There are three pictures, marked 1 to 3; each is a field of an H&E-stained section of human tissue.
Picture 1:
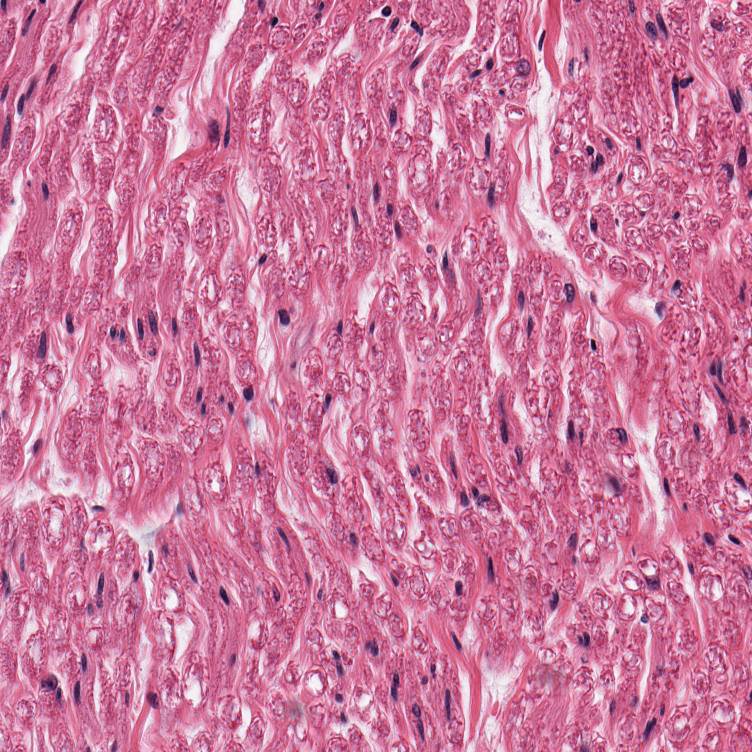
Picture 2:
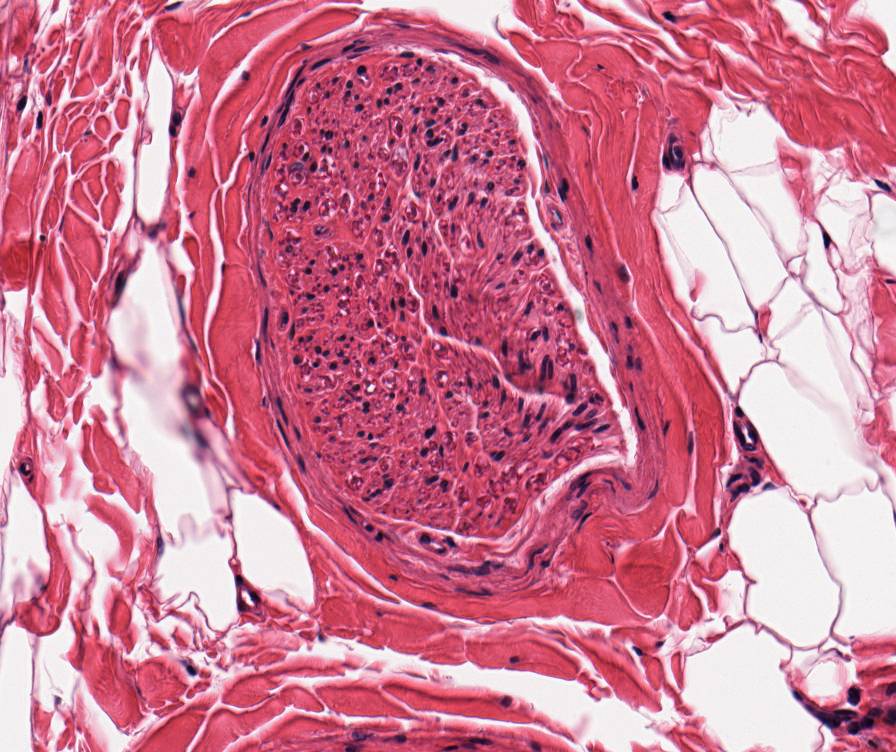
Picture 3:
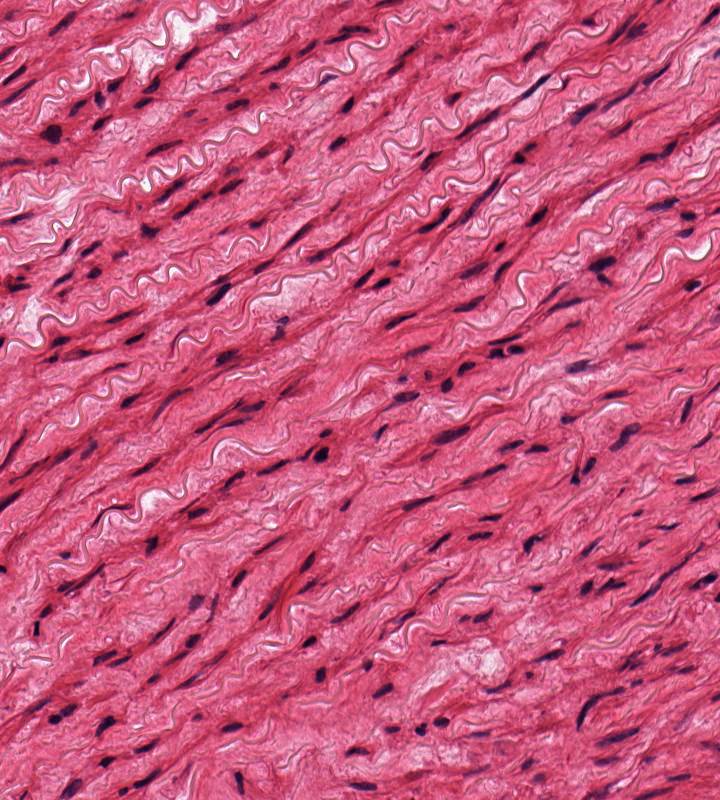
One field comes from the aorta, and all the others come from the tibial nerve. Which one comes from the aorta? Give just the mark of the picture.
3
